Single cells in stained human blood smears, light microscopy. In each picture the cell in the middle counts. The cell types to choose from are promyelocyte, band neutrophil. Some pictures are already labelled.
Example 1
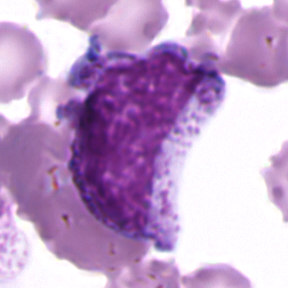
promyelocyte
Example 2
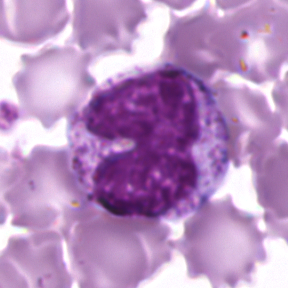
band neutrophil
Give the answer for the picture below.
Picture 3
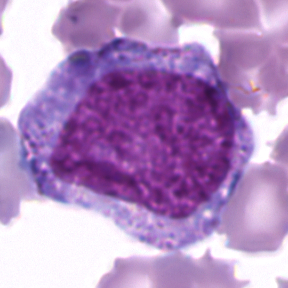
promyelocyte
